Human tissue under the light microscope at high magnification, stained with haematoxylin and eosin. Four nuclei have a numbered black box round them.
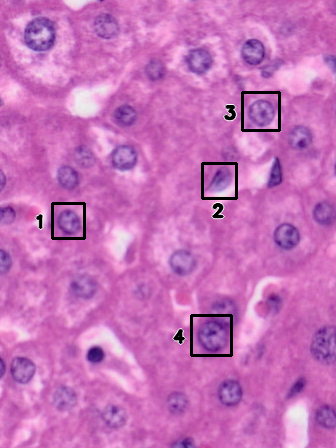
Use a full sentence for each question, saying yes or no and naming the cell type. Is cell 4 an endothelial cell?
No, the cell given the number 4 is a hepatocyte, so not an endothelial cell.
